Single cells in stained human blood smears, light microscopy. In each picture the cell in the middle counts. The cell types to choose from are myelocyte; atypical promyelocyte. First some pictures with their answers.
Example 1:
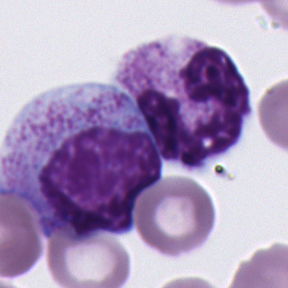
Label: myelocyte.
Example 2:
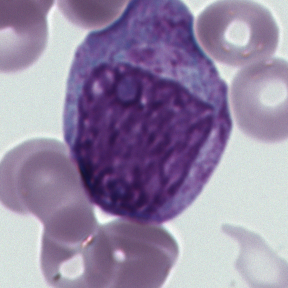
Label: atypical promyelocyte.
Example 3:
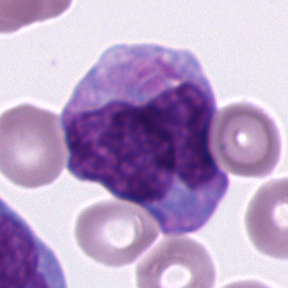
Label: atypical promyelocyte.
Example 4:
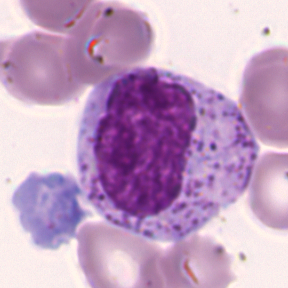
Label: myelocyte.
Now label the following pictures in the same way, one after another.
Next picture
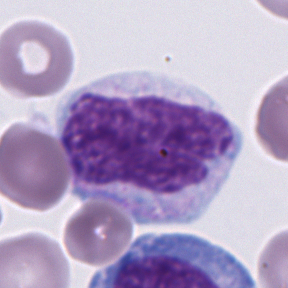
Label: myelocyte.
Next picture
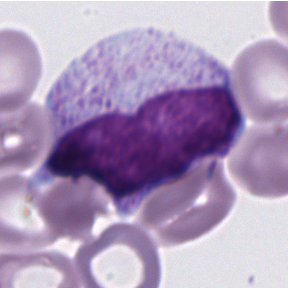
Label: myelocyte.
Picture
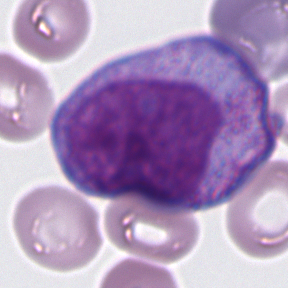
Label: atypical promyelocyte.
